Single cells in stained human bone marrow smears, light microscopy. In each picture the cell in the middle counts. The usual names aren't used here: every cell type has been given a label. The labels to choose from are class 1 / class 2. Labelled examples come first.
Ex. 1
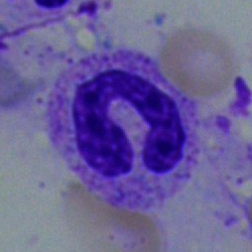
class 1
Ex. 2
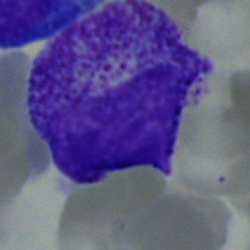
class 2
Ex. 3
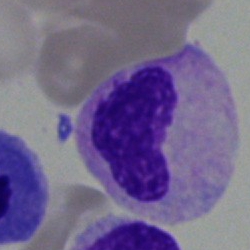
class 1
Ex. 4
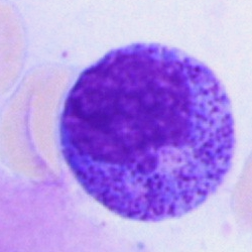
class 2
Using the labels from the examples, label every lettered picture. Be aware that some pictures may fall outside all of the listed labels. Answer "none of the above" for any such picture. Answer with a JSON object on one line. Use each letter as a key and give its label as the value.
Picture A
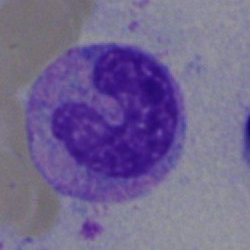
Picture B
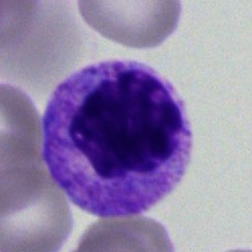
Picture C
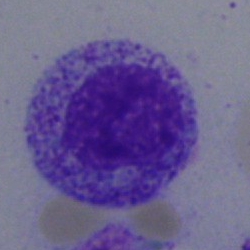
{"A": "class 1", "B": "none of the above", "C": "none of the above"}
